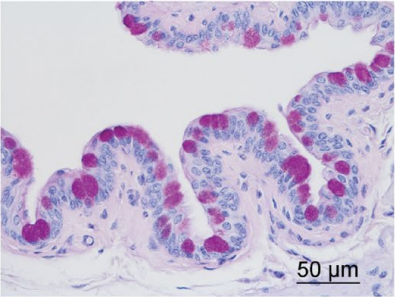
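Folded stratified epithelium containing numerous goblet cells, seen as rounded cells packed with bright magenta mucin, many at the surface of the folds. The other epithelial cells have oval blue nuclei and pale pink cytoplasm, and rest on a thin pale connective tissue layer.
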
